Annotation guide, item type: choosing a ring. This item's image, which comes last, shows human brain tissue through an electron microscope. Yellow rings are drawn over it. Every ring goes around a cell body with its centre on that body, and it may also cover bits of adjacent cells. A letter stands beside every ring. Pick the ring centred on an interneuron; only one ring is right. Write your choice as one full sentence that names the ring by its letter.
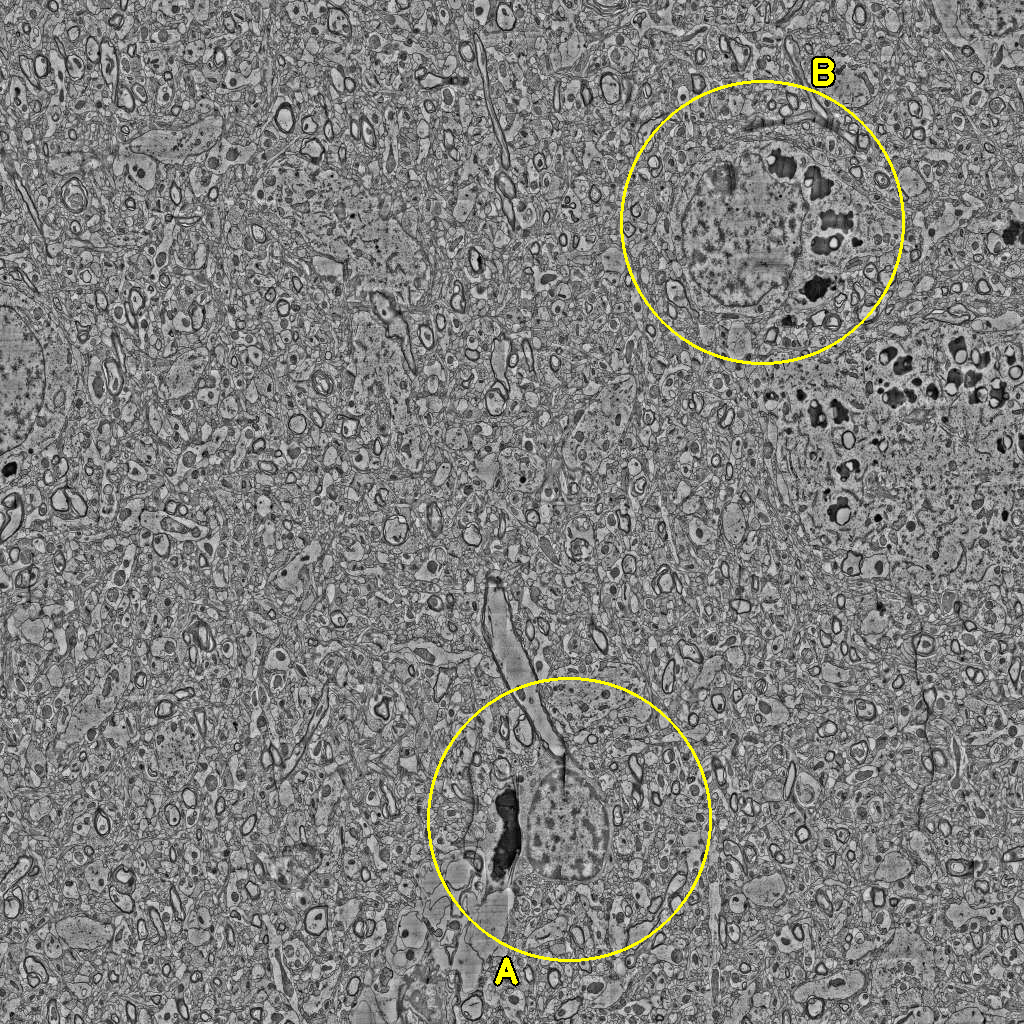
In the image, Ring B is centred on a cell of the kind requested.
